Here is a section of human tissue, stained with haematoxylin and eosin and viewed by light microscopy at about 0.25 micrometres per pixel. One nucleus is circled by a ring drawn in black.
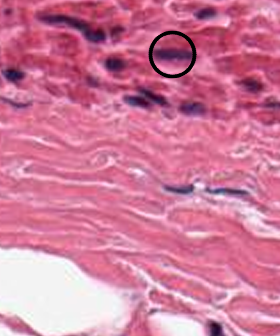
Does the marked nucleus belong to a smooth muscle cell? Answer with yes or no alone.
yes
